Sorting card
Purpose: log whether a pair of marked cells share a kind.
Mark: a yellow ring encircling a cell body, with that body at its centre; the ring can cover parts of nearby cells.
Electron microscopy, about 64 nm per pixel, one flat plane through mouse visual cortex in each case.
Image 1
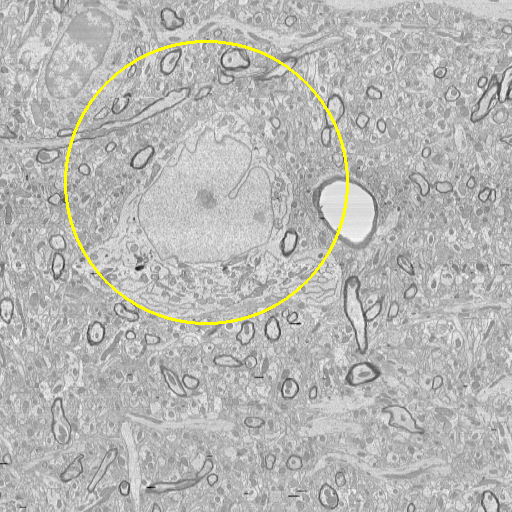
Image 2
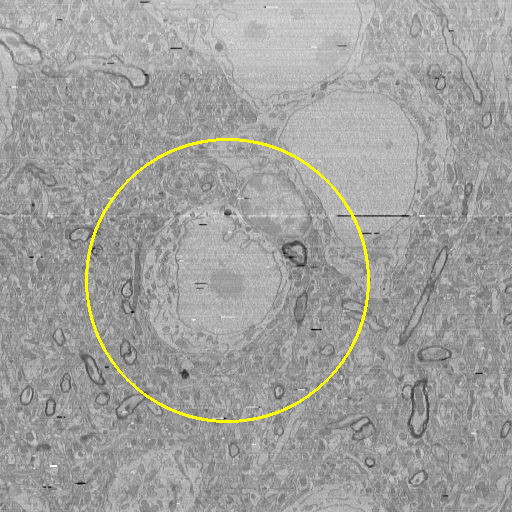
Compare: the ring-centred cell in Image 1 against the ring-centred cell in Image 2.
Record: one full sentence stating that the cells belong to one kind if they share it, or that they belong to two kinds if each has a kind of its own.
Across Images 1 and 2, the two ring-centred cells belong to one kind.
